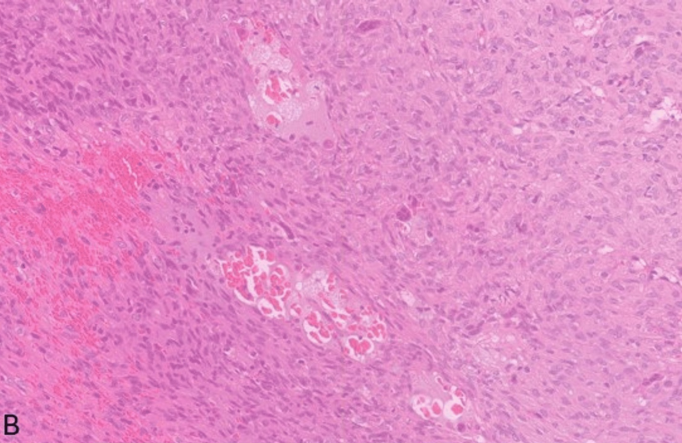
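This tumor is a dense proliferation of spindle cells with oval to elongated purple nuclei and pale pink cytoplasm, arranged in short fascicles. Thin-walled vessels filled with red blood cells run through the tissue, and at the left red blood cells spill into the surrounding tissue as a small hemorrhage.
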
